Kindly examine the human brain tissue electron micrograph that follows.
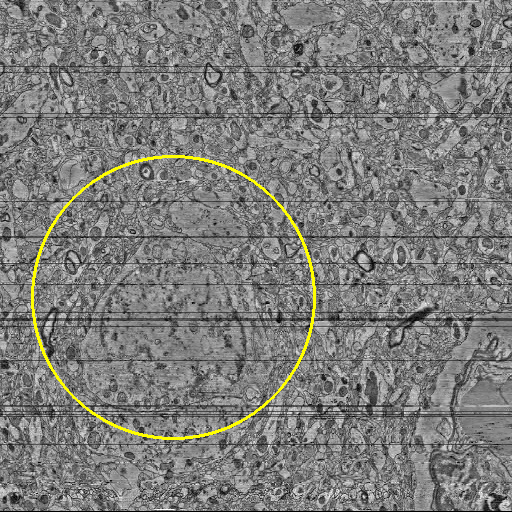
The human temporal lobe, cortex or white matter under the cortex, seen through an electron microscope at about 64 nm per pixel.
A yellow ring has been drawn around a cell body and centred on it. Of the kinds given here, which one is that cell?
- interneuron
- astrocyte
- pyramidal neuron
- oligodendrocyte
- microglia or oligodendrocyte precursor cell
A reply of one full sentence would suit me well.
The micrograph's ringed cell, the one at the ring's centre, is an interneuron.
